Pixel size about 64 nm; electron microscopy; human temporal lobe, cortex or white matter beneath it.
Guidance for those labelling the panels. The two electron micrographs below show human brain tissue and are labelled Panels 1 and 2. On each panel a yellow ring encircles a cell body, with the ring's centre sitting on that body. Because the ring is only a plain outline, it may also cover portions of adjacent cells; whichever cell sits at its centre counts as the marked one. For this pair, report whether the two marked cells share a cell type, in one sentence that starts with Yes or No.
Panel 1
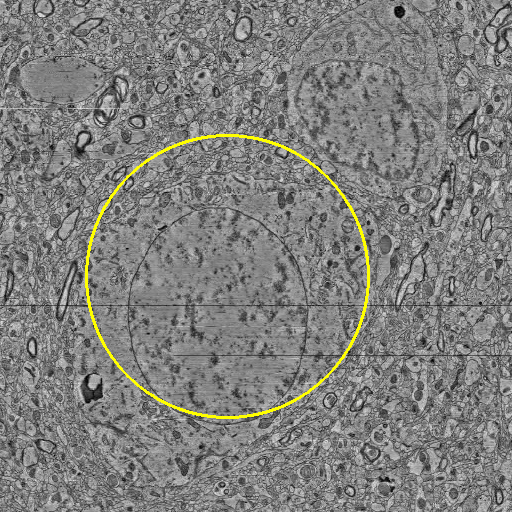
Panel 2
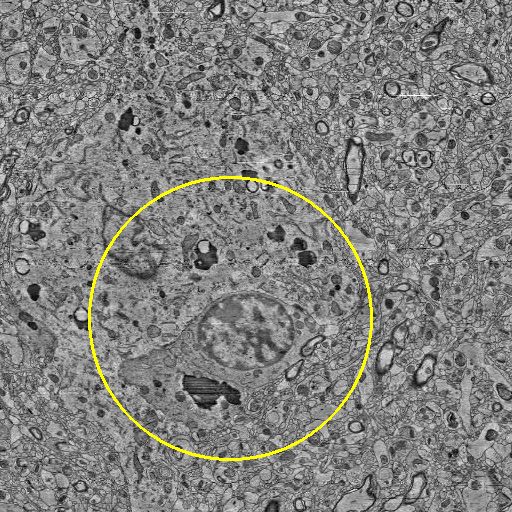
No, in Panel 1 and Panel 2 the marked cells at the ring centres are of two types.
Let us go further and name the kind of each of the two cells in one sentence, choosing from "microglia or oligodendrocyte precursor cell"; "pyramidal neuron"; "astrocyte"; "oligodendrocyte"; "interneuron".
The ring of the first picture is on a pyramidal neuron, the ring of the second on an oligodendrocyte.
